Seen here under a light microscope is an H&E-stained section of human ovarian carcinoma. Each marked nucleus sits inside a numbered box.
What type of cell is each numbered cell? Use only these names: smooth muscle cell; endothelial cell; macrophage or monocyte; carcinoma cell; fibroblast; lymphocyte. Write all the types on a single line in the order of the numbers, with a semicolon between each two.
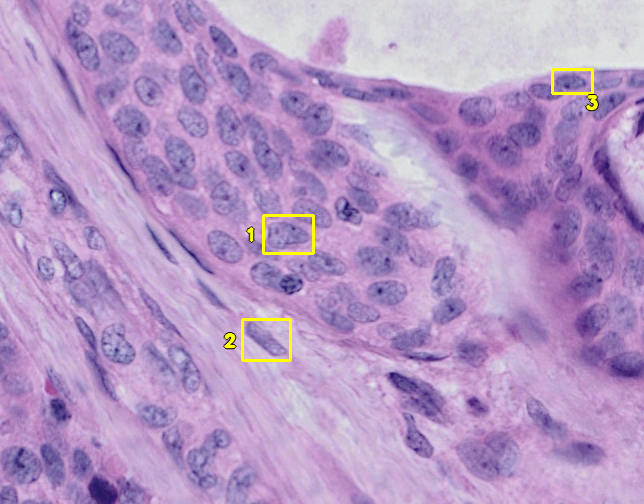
carcinoma cell; fibroblast; carcinoma cell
